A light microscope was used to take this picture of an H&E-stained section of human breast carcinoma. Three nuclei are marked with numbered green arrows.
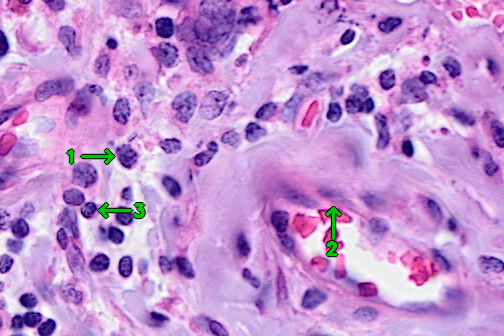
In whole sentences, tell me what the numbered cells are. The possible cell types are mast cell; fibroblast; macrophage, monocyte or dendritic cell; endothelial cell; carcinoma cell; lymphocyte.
Cell 1 is a lymphocyte, cell 2 is an endothelial cell and cell 3 is a lymphocyte.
